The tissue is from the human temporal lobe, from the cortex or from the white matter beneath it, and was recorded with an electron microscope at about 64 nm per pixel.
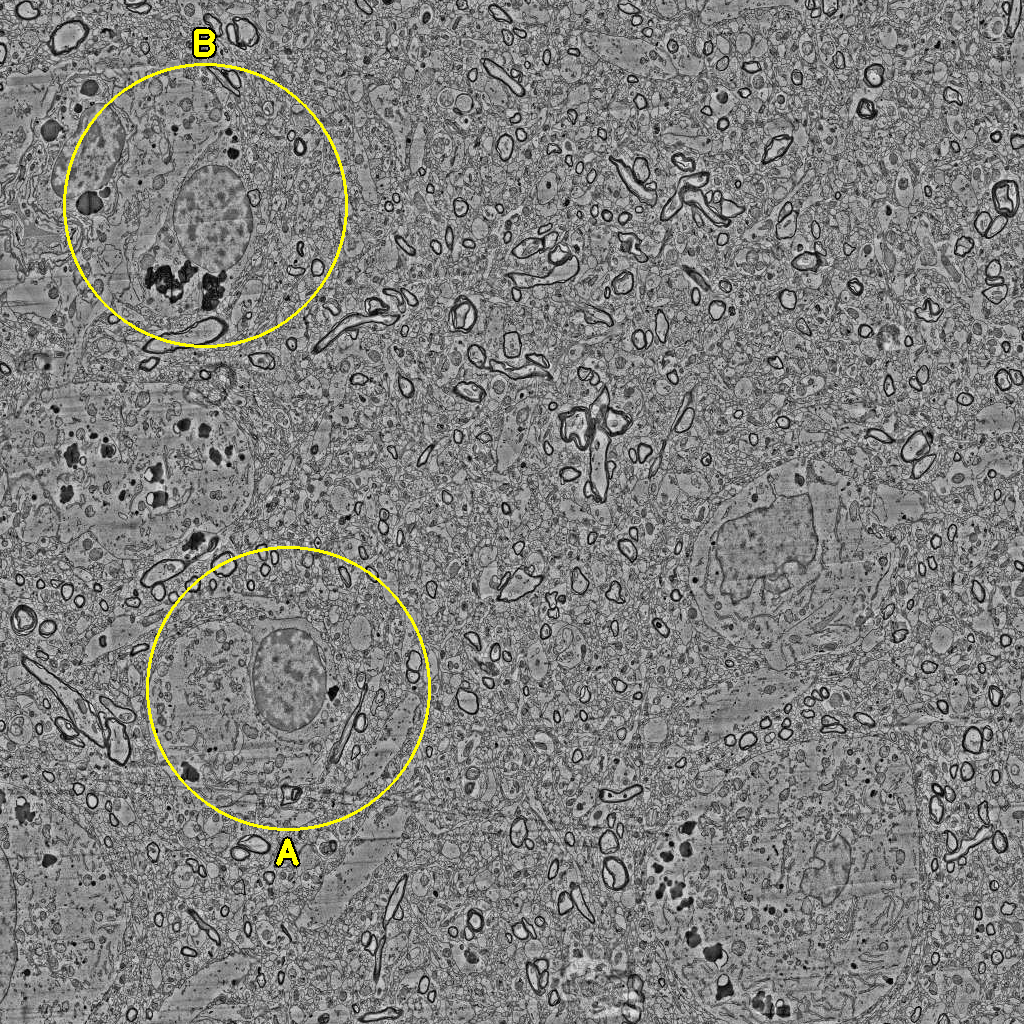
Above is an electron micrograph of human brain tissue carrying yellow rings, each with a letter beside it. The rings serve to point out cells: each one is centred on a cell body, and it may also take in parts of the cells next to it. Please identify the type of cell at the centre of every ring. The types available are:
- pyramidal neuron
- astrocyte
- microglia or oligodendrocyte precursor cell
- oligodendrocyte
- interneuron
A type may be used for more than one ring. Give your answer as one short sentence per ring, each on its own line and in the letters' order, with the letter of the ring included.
Ring A points to the cell body of an oligodendrocyte.
Ring B points to the cell body of an oligodendrocyte.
